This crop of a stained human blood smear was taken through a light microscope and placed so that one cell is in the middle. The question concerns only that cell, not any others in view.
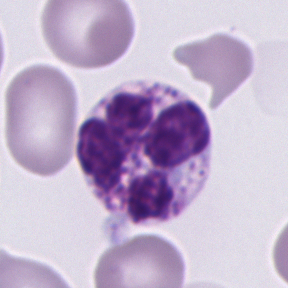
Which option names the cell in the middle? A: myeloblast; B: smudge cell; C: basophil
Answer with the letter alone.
C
